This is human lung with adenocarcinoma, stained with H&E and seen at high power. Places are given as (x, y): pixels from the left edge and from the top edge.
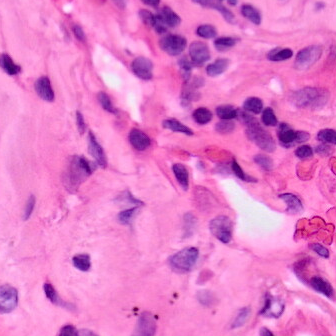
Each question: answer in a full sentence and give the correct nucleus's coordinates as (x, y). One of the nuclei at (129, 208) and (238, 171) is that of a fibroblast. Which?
Of the two nuclei, that at (129, 208) is the nucleus of a fibroblast.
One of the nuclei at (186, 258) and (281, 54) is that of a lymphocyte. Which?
Assigned to a lymphocyte is the nucleus located at (281, 54).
